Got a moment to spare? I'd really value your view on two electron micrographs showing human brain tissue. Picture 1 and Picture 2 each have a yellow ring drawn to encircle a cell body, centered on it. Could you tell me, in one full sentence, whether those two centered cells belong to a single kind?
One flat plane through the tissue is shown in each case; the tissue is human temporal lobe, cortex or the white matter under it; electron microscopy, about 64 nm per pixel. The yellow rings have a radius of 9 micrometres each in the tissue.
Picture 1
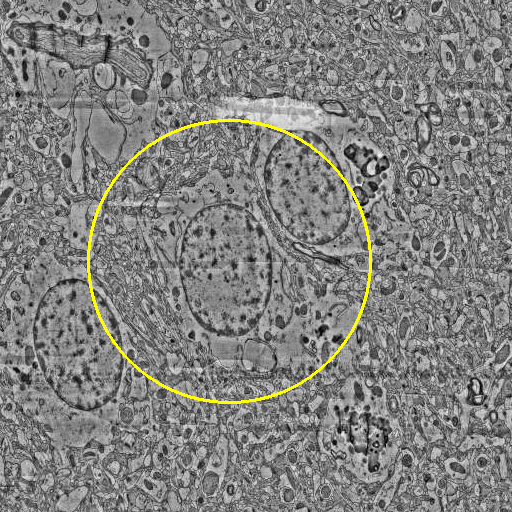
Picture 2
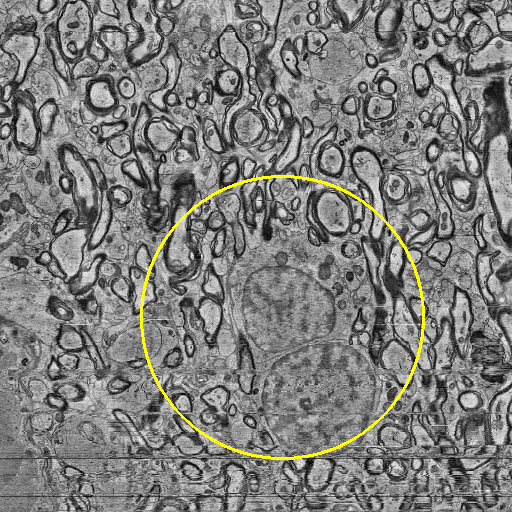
No, the two centered cells in Picture 1 and Picture 2 are of two kinds.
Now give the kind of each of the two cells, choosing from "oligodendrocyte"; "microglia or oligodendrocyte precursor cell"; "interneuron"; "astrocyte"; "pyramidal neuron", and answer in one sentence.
The cell in the first picture is an astrocyte, and the cell in the second is an oligodendrocyte.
